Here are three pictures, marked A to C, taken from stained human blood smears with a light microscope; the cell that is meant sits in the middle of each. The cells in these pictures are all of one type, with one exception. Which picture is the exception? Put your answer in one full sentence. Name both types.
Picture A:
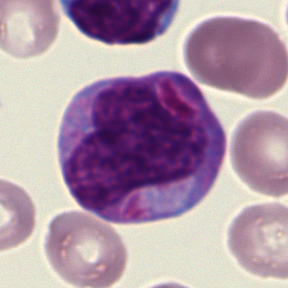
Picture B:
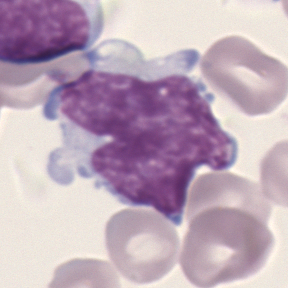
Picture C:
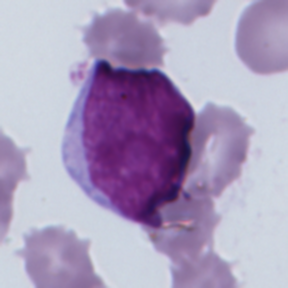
All pictures except A show myeloblasts; picture A shows an atypical promyelocyte.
